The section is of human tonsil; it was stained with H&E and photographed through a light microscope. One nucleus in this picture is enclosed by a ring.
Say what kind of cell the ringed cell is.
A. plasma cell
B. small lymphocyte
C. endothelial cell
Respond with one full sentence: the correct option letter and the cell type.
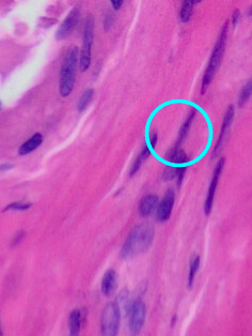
Option C is correct in that the ringed cell is an endothelial cell.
